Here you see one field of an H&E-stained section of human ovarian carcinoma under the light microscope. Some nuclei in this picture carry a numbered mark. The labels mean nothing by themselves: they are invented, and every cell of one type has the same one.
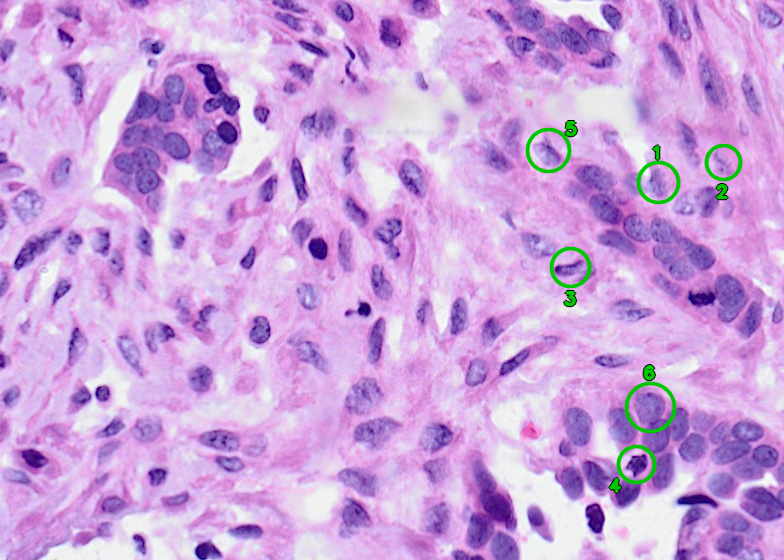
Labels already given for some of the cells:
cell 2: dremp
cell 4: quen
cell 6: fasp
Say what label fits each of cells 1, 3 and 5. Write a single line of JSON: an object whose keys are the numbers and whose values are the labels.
{"1": "dremp", "3": "dremp", "5": "dremp"}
